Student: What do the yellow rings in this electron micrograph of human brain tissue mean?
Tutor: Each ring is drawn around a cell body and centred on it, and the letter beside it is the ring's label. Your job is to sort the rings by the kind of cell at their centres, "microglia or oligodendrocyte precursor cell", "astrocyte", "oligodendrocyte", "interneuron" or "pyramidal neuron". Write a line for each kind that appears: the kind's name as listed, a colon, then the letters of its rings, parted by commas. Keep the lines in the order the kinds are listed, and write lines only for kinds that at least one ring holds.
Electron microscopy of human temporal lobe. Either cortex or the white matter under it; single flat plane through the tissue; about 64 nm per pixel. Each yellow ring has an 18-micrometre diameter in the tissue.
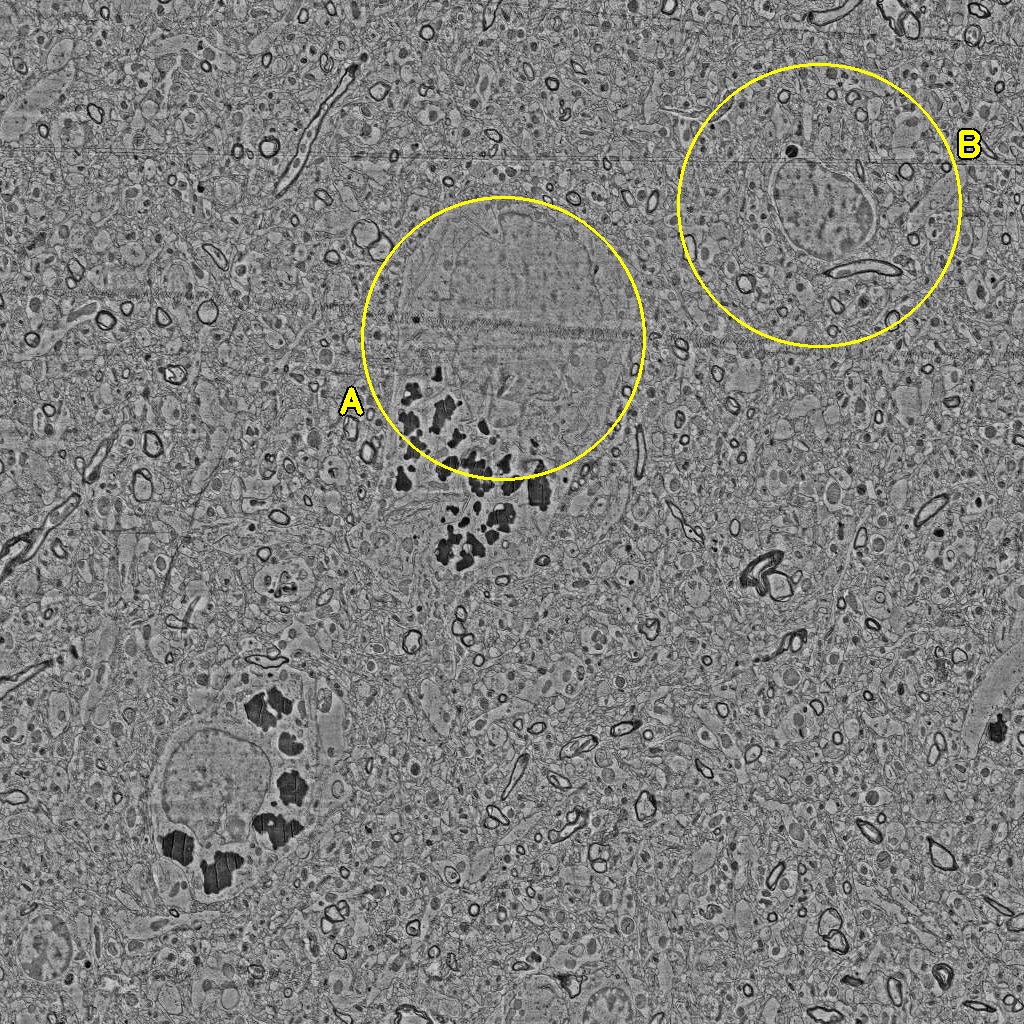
microglia or oligodendrocyte precursor cell: B
interneuron: A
